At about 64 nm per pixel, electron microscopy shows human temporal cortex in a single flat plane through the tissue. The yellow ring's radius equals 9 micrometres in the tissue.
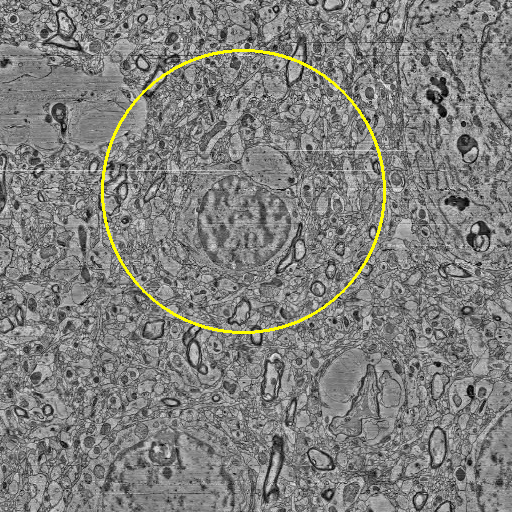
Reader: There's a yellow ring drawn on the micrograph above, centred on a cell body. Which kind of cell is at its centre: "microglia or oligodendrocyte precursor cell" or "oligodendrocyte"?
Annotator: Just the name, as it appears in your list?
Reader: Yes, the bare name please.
oligodendrocyte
